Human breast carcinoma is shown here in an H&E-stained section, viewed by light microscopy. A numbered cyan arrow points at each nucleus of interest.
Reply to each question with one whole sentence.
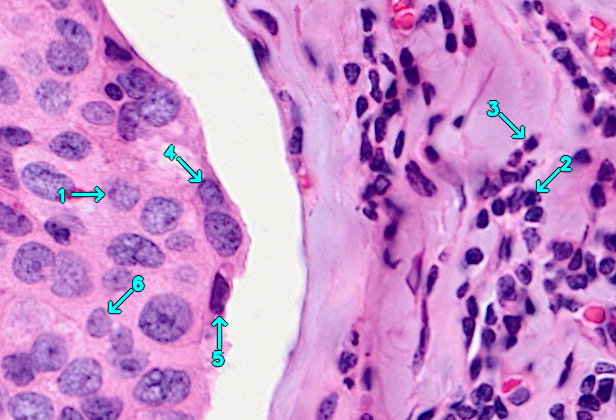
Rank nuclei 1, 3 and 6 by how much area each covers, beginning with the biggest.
By area, largest first, they run 1, 6, 3.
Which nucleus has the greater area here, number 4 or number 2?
Nucleus 4 covers more area, about 2.5 times as much as nucleus 2.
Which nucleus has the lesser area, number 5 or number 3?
It is nucleus 3; nucleus 5 has about 3 times its area.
